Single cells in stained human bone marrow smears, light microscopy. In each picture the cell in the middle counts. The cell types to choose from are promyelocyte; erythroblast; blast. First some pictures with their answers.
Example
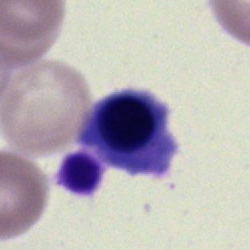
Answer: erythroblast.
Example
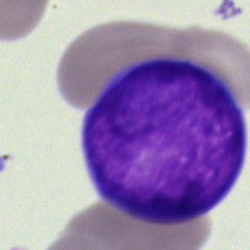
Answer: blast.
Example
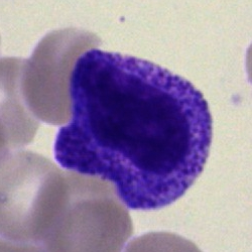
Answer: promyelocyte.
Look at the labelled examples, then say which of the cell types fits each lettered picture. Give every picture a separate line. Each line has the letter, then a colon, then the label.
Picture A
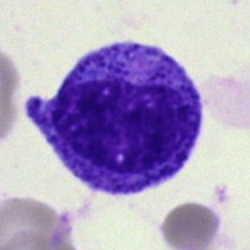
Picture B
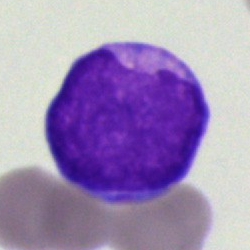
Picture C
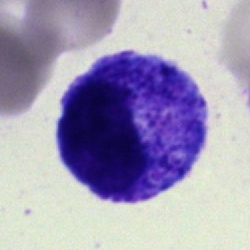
A: promyelocyte.
B: blast.
C: promyelocyte.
